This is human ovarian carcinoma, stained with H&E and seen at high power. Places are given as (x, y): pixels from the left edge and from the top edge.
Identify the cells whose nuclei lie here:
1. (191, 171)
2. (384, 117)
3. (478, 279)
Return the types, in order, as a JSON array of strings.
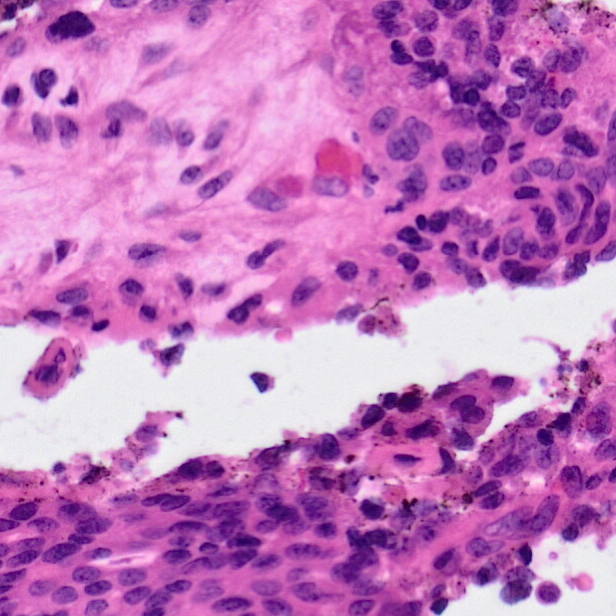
["fibroblast", "carcinoma cell", "carcinoma cell"]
